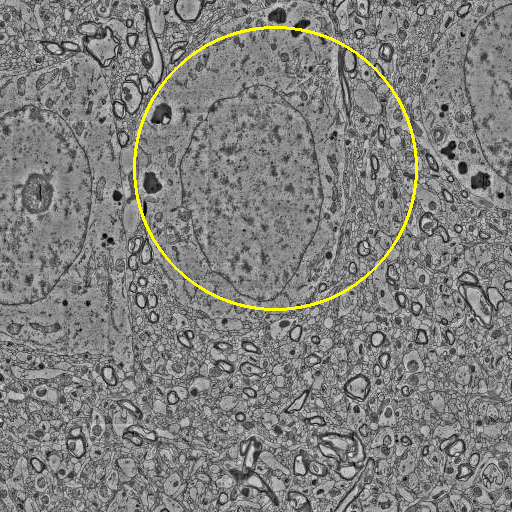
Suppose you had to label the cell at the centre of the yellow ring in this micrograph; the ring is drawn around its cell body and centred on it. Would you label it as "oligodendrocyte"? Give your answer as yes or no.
No, I would label it as another kind.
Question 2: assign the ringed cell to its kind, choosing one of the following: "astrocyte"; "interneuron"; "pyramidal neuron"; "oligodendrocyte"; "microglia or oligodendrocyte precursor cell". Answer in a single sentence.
This picture has a pyramidal neuron at the centre of its ring.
